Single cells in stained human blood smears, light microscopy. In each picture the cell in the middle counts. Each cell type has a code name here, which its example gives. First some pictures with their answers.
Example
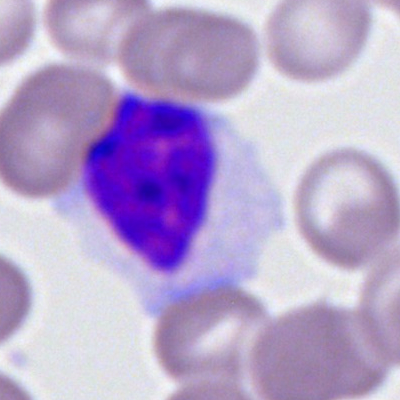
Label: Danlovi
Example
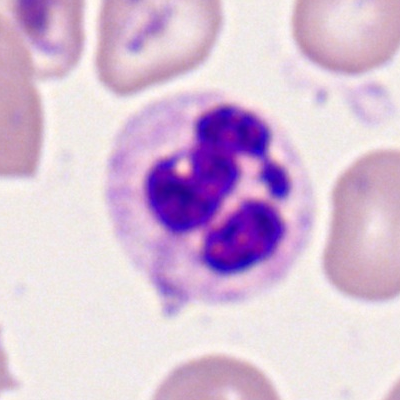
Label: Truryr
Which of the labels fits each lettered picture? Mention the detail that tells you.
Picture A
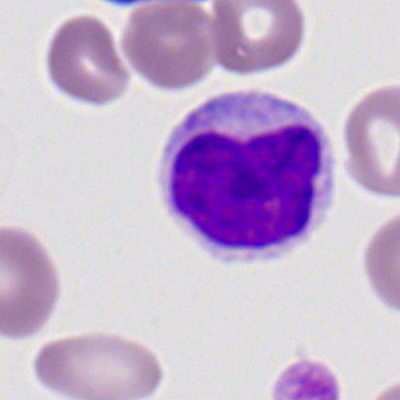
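Danlovi. The nucleus fills most of the cell.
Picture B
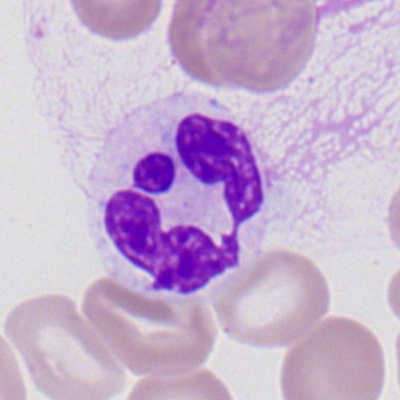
Truryr. The nucleus is divided into several separate lobes.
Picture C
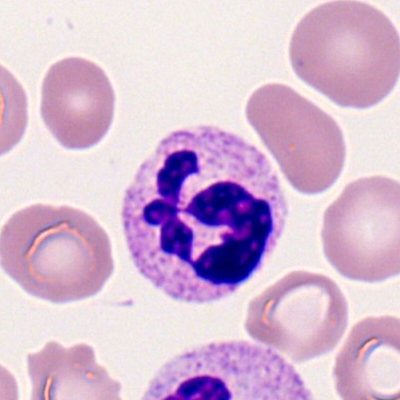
Truryr. The cytoplasm is plentiful and pale pinkish-lilac.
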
